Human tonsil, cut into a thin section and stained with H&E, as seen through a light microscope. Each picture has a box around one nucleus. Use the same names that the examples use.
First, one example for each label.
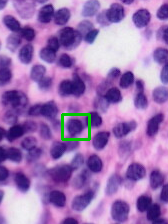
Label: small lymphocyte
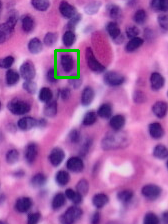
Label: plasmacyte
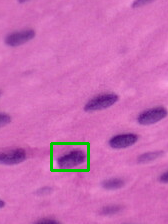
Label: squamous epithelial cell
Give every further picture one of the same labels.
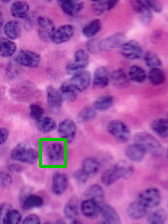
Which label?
plasmacyte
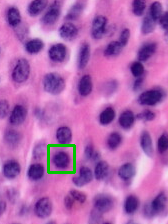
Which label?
plasmacyte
